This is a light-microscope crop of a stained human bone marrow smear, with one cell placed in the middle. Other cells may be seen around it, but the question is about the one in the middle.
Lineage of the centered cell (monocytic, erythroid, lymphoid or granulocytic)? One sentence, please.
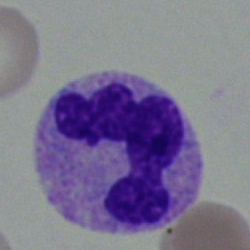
The cell right in the center of the crop is part of the granulocytic line.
